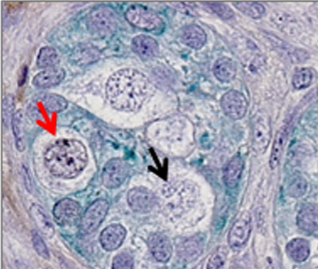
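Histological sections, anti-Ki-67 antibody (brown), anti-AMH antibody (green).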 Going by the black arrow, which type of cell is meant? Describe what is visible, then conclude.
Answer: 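The marked cell is much larger than the surrounding cells. It has a wide pale, clear cytoplasm around a round nucleus. It lies inside a cord among smaller cells with oval nuclei. That points to this answer: germ cells.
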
